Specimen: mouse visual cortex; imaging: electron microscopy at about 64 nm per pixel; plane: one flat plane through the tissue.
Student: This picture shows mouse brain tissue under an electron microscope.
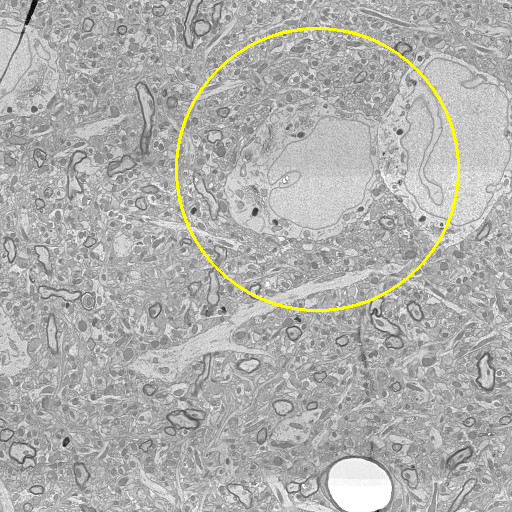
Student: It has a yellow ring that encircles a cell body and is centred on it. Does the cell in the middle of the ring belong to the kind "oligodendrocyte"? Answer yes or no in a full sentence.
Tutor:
No, the cell in the middle of the ring in this picture is of another kind.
